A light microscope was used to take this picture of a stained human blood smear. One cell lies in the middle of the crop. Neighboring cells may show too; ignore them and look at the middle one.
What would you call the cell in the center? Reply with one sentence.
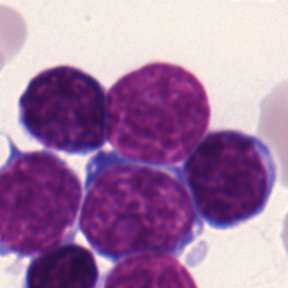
At the center of the crop sits a myeloblast.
